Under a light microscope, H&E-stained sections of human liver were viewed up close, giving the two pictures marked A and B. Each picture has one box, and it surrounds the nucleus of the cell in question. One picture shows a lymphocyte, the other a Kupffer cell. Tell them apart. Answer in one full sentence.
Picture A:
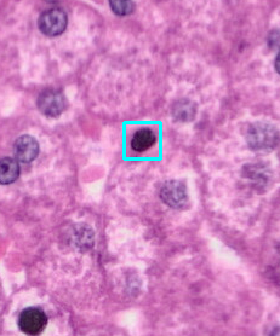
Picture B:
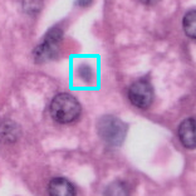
Picture A is of a Kupffer cell, and picture B is of a lymphocyte.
